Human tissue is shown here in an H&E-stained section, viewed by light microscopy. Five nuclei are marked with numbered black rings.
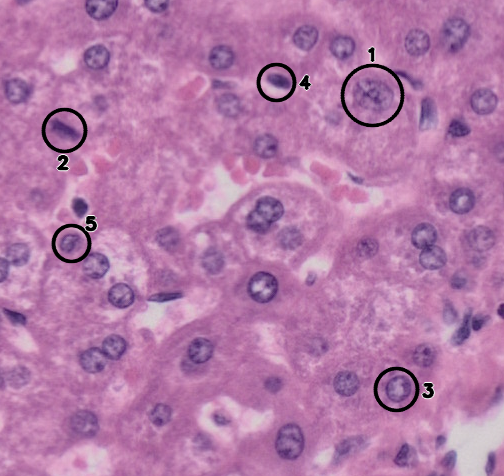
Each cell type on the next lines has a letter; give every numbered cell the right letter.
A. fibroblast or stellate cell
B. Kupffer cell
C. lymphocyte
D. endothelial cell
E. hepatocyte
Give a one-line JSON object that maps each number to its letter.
{"1": "E", "2": "A", "3": "E", "4": "C", "5": "B"}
